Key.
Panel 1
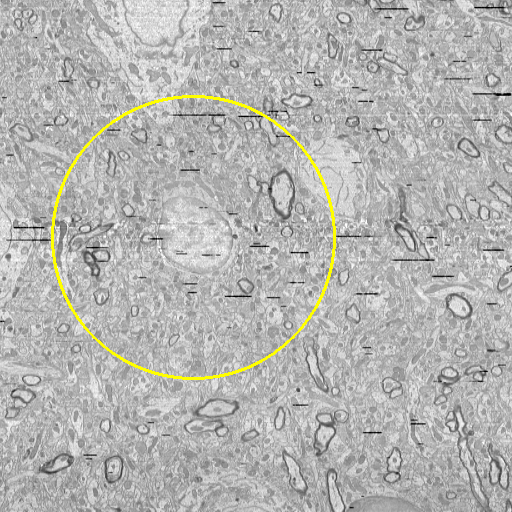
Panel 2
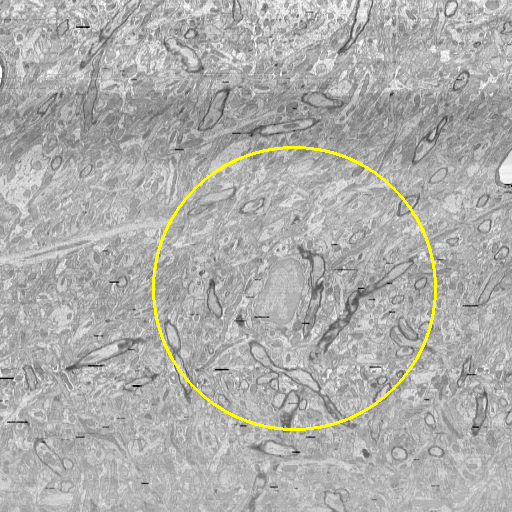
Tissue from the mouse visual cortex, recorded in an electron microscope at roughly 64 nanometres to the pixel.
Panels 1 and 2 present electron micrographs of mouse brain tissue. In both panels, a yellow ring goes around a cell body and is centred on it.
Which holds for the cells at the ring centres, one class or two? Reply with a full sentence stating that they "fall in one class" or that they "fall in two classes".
Taken together, the ring-centre cells of the two panels fall in two classes.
